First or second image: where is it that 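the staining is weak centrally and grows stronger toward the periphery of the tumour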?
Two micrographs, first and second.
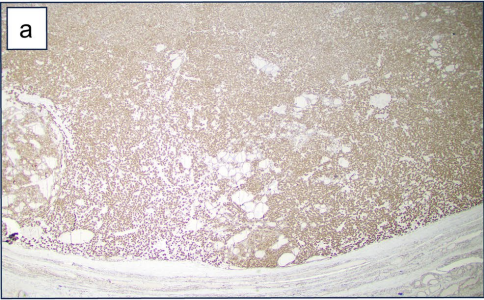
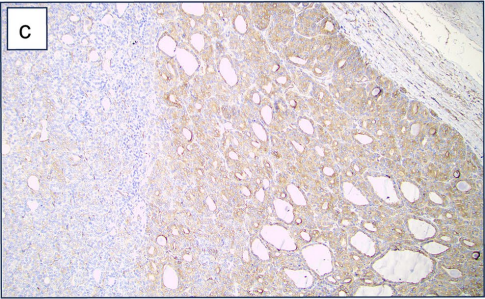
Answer: The second image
